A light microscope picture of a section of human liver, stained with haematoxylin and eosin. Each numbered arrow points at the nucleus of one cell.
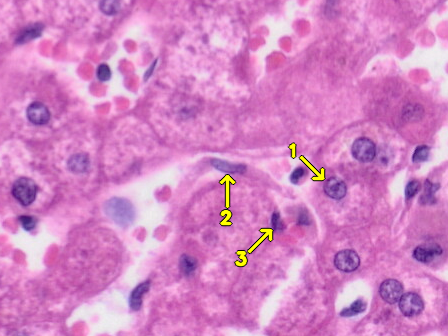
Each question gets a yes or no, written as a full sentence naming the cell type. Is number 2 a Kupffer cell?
Yes, the cell that bears the number 2 is a Kupffer cell.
